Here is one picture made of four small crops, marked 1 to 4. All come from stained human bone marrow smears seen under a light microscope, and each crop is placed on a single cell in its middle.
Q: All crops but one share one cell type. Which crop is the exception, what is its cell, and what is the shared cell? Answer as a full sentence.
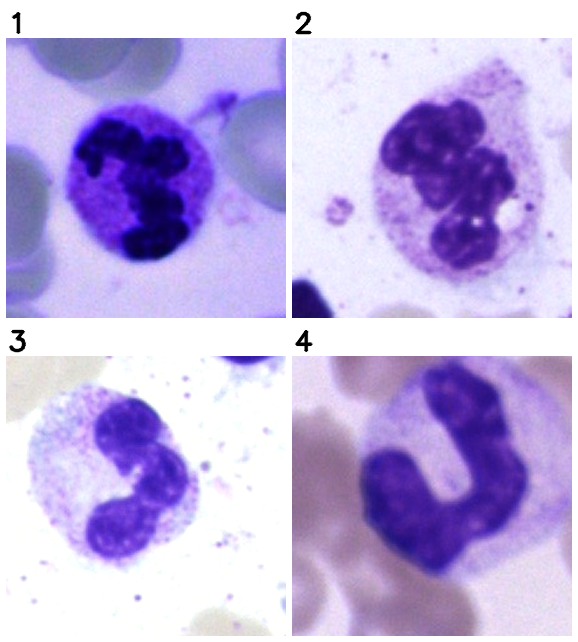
All of the other crops show segmented neutrophils; crop 4, by contrast, is a band neutrophil.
